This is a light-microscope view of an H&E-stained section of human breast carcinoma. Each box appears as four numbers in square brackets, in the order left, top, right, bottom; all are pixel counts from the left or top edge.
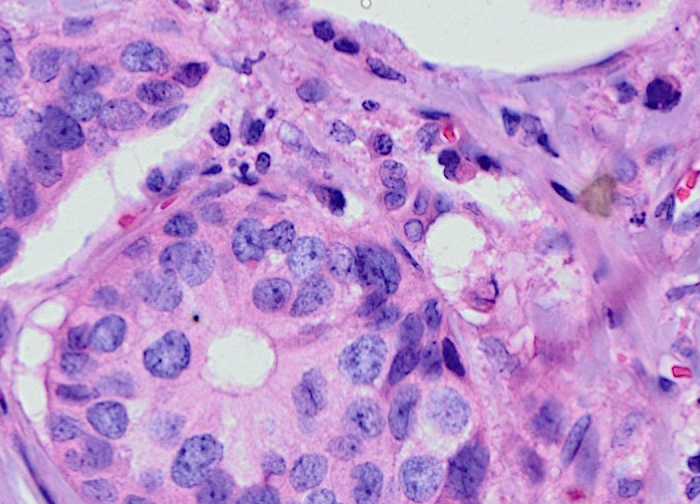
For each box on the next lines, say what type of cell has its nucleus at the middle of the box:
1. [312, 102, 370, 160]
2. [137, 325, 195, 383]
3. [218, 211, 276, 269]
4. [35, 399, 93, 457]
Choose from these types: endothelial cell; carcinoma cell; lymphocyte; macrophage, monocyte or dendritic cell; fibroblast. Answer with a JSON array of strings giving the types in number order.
["macrophage, monocyte or dendritic cell", "carcinoma cell", "carcinoma cell", "carcinoma cell"]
